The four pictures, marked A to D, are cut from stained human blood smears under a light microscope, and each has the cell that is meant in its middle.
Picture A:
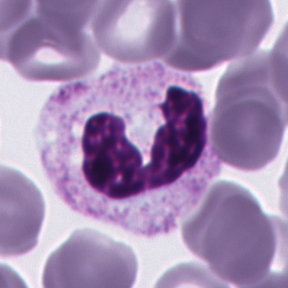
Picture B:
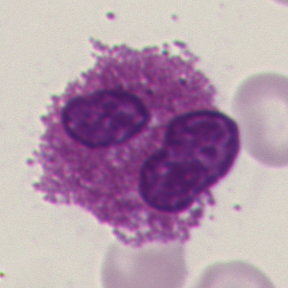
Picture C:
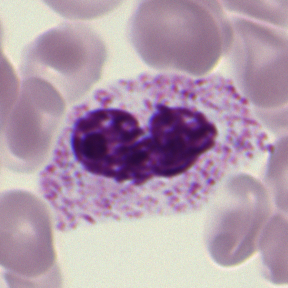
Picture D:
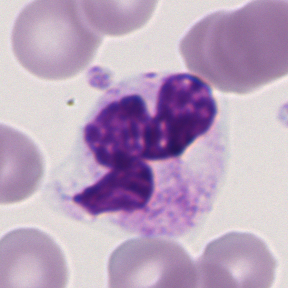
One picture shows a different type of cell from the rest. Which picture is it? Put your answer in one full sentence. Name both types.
Picture B differs, because its cell is an eosinophil and the rest are segmented neutrophils.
